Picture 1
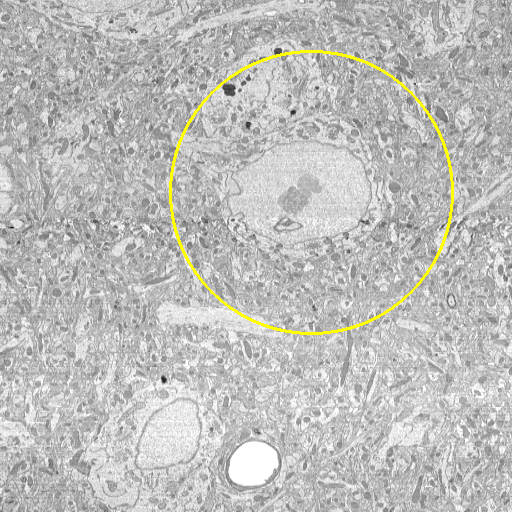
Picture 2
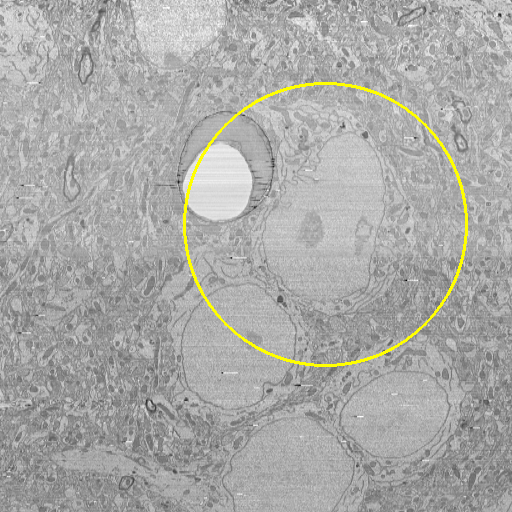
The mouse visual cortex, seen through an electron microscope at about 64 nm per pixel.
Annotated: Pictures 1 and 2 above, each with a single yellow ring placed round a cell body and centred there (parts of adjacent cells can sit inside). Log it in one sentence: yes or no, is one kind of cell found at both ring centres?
Yes, the ring centres of the two pictures hold cells of one kind.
